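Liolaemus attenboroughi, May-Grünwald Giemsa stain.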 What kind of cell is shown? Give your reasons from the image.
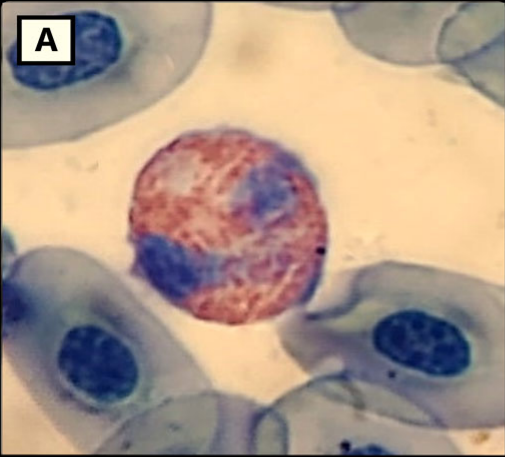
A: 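A round cell among oval nucleated red cells. Its cytoplasm is packed with orange-red elongated granules. Its bluish nucleus is pushed to the edge of the cell.
Hence: Heterophil.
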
